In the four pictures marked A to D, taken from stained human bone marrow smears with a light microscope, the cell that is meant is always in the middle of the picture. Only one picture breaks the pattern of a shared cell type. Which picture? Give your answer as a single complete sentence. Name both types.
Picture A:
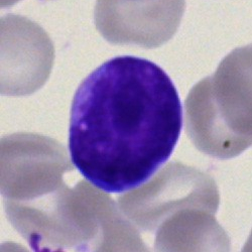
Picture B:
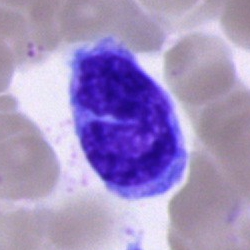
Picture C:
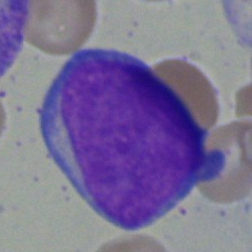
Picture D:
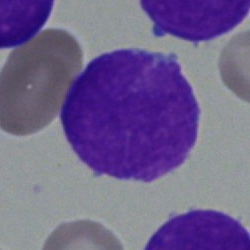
Picture B is the odd one out: it shows a monocyte, while the others show blasts.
